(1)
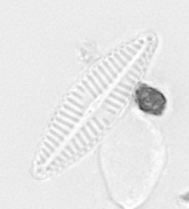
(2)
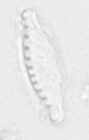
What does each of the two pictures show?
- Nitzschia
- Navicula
Picture 1: Navicula
Picture 2: Nitzschia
